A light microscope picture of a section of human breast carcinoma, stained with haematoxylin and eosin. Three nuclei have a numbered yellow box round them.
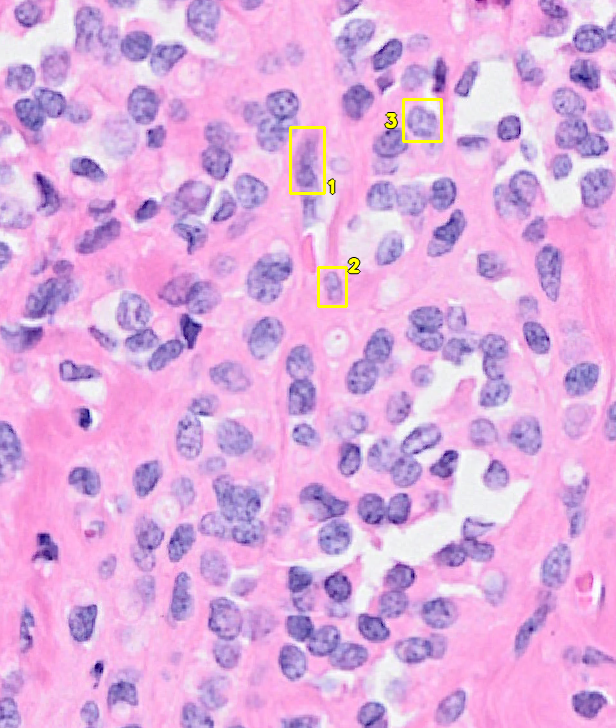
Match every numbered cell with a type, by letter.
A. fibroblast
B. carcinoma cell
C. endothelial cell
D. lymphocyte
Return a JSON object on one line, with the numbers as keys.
{"1": "C", "2": "C", "3": "B"}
